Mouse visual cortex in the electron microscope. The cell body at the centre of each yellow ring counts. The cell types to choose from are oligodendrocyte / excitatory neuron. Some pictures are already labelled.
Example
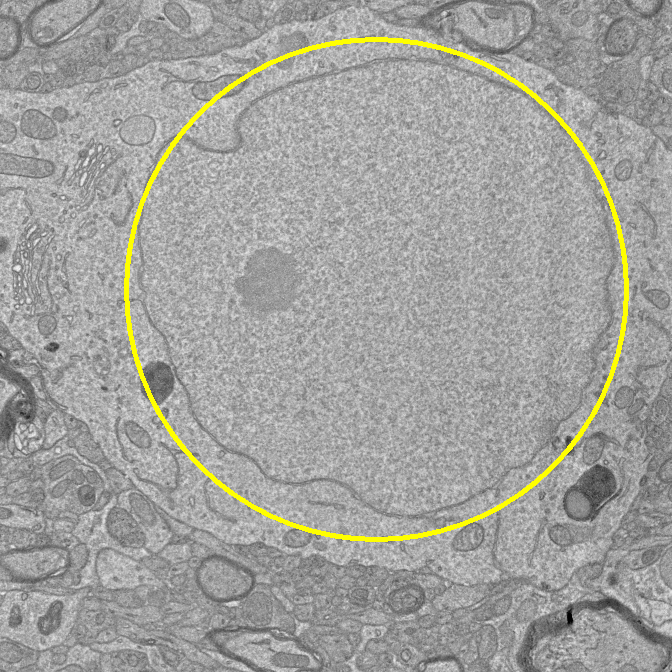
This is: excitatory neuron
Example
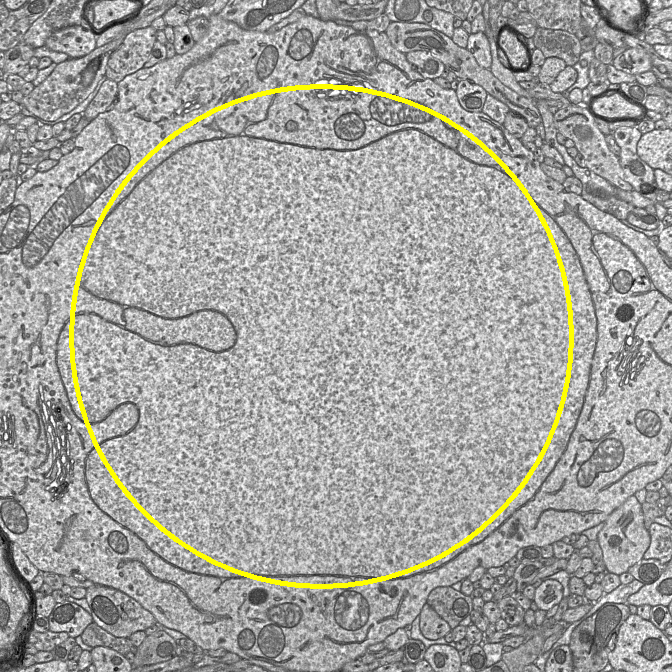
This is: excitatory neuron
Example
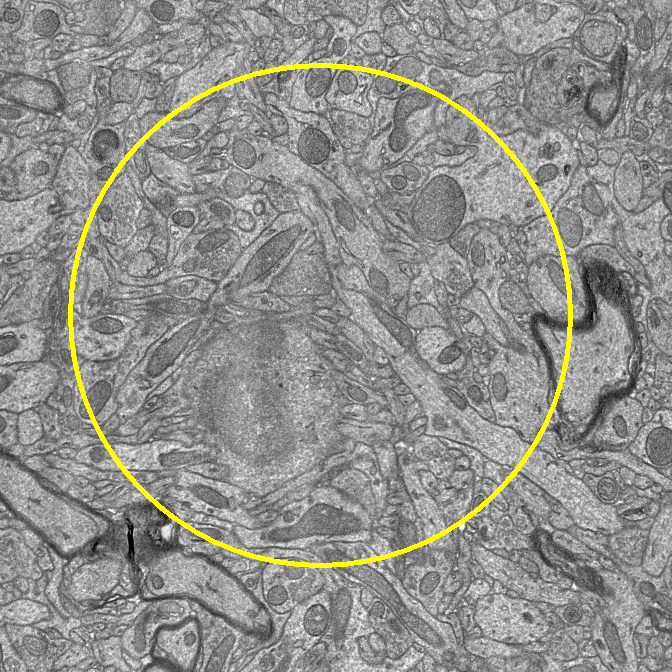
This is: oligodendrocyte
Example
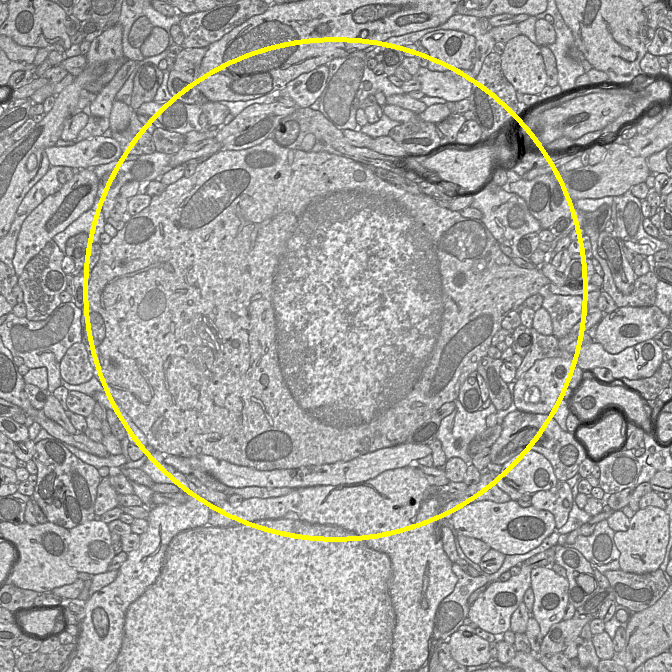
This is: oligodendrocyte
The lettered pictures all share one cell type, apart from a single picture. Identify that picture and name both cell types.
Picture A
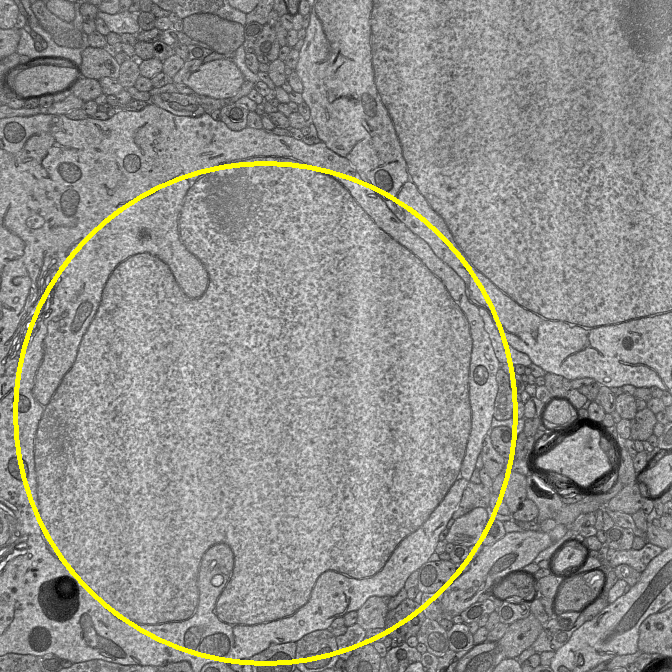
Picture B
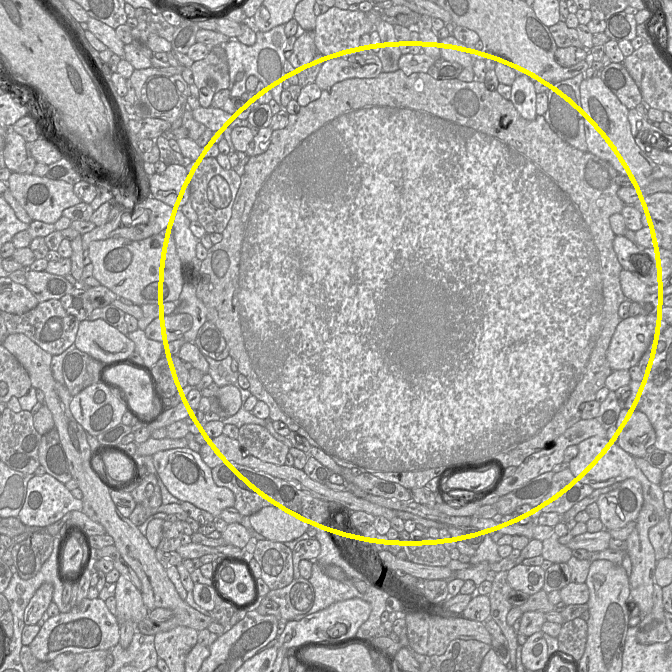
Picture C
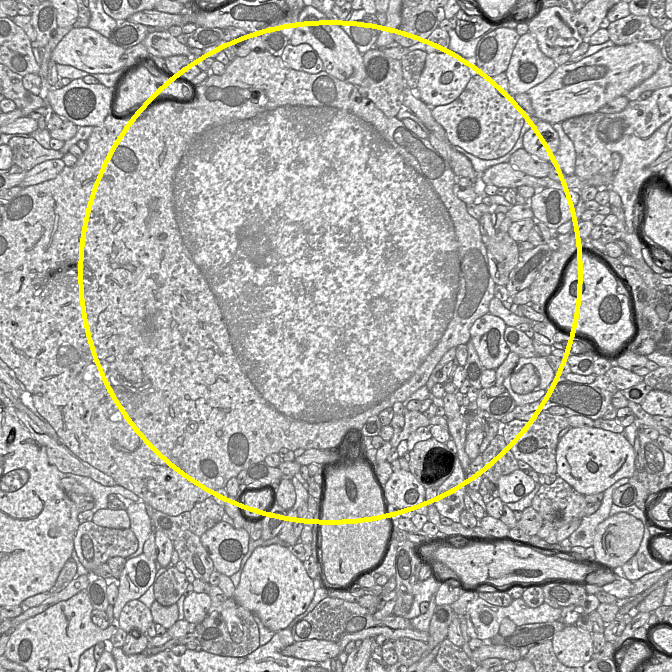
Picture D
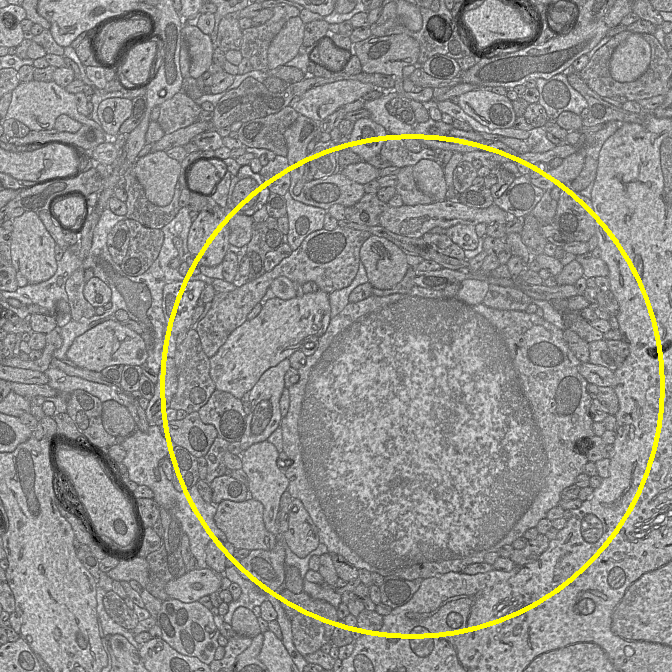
Picture A: excitatory neuron. All others: oligodendrocyte.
